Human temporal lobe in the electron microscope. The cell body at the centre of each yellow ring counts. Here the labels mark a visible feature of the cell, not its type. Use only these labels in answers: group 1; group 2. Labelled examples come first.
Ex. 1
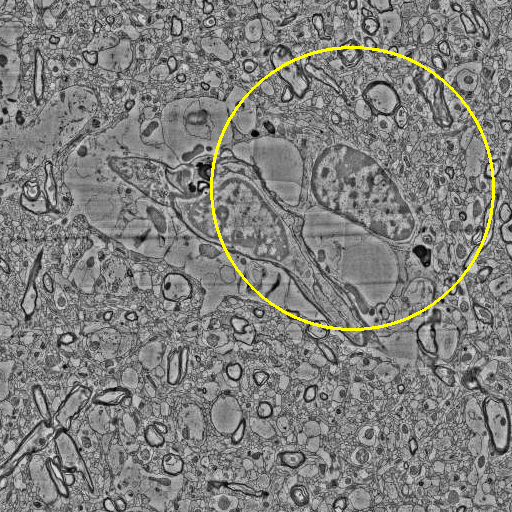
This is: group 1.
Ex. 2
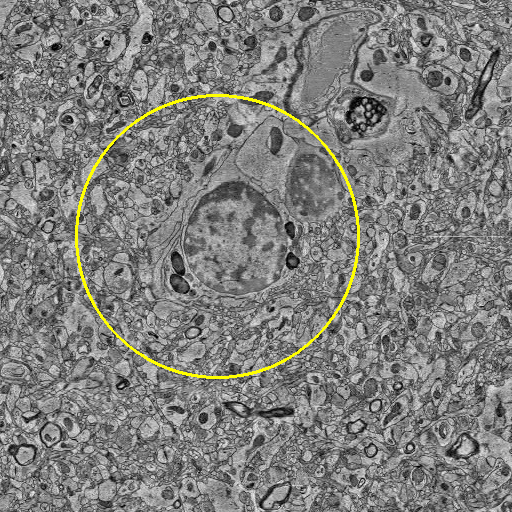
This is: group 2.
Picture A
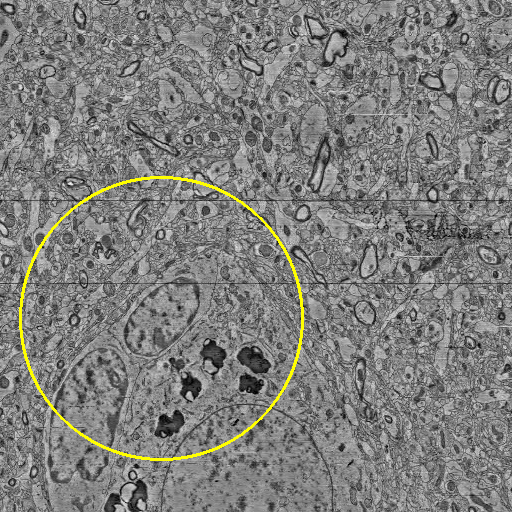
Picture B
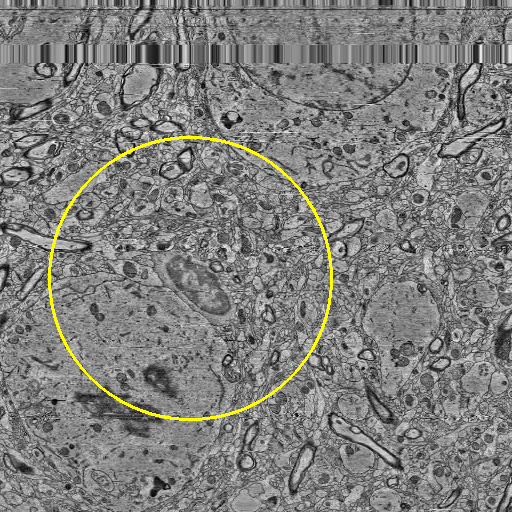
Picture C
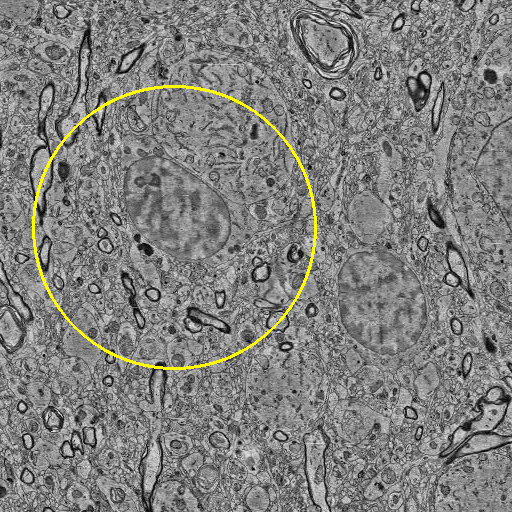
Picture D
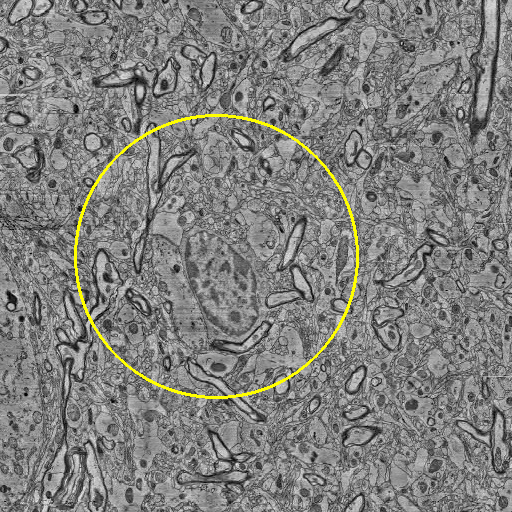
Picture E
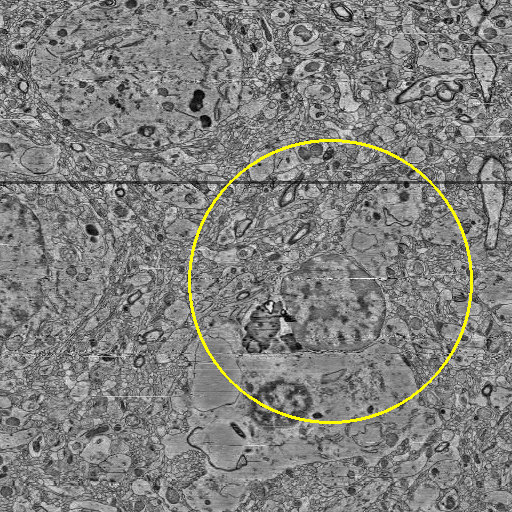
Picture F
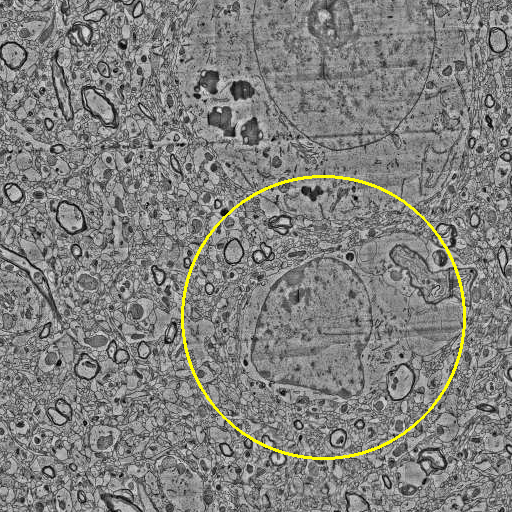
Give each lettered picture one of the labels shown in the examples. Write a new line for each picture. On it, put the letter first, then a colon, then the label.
A: group 1.
B: group 1.
C: group 1.
D: group 1.
E: group 2.
F: group 2.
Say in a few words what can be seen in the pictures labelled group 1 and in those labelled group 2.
In group 1: clearly elongated nuclei. In group 2: round or nearly round nuclei.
